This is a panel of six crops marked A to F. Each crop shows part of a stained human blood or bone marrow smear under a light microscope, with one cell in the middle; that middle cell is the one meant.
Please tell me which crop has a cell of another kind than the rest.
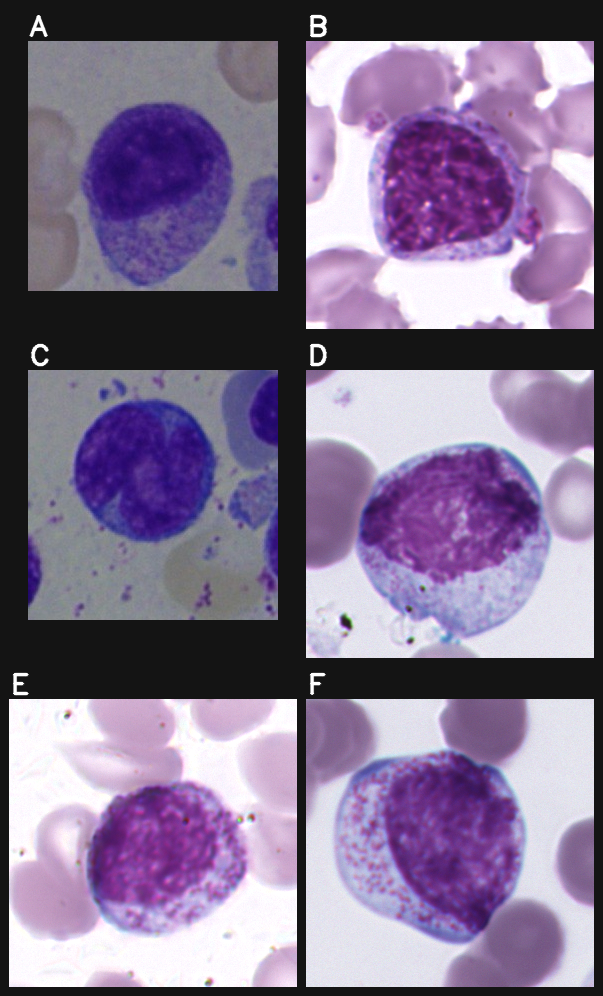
C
